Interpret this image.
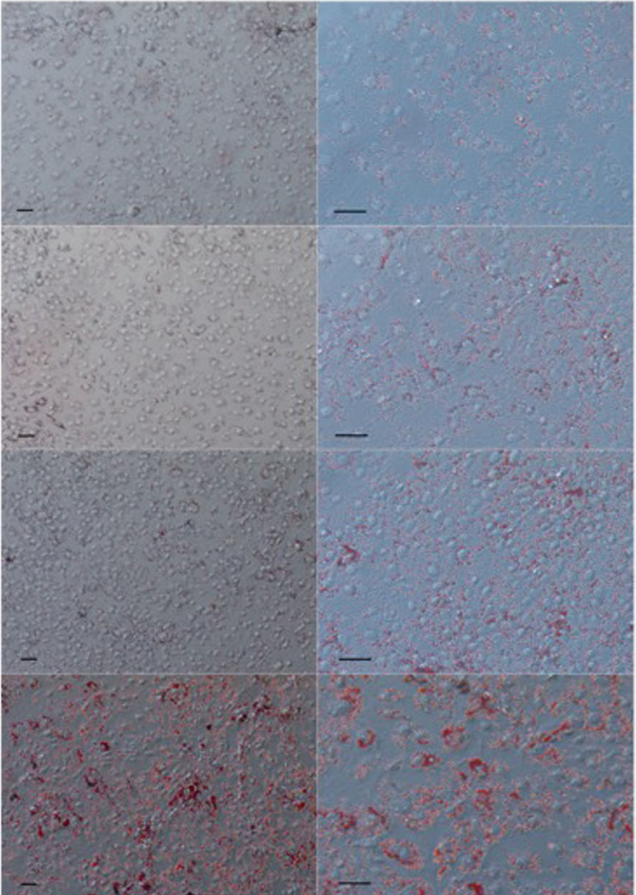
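The cells lie crowded in a single layer, with pale grey-blue outlines and little visible internal detail apart from the red droplets. In some fields the red droplets are sparse and faint. In others they are dense, clustering around the cells and merging into larger, irregular red masses.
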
